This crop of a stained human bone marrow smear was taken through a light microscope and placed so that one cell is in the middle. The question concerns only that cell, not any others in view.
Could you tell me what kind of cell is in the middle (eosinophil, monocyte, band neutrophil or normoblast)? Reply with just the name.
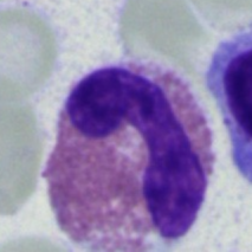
eosinophil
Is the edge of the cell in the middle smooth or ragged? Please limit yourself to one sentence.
You can see a smooth boundary, with no projections sticking out.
